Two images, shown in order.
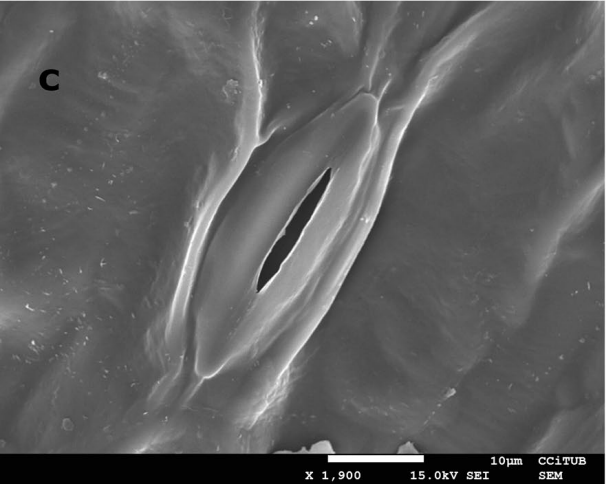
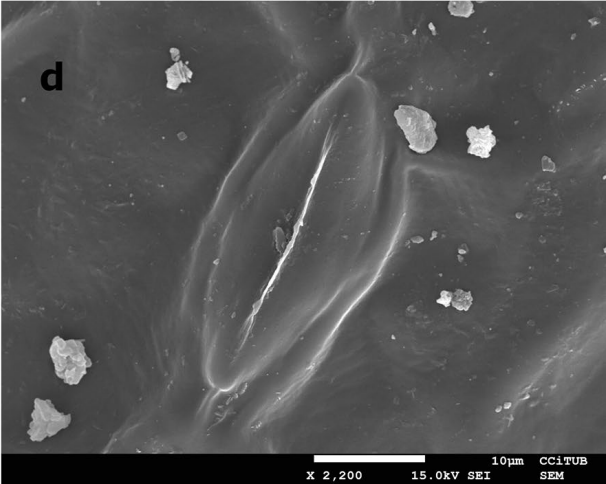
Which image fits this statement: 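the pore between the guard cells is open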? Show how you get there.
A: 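Second image: only a thin closed slit lies between the two paired cells. First image: a wide dark lens-shaped gap lies between the two paired cells.
Hence: the first image.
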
